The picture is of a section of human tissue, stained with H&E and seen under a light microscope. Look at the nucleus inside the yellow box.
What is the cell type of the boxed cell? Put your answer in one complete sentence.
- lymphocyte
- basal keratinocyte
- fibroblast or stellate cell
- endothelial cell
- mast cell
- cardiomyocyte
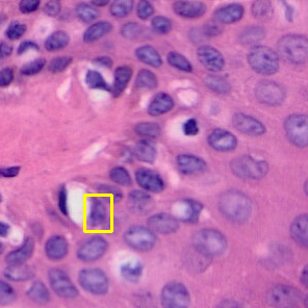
The cell type of the boxed cell is that of a basal keratinocyte.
